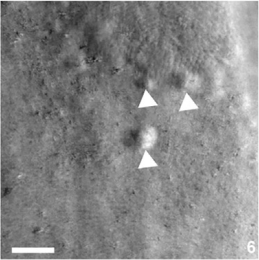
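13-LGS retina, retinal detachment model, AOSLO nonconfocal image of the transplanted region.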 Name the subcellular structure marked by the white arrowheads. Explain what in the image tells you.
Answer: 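The arrowheads point at isolated rounded profiles standing out from a grey background. One of the marked profiles is bright, the others darker.
Inner segments.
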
